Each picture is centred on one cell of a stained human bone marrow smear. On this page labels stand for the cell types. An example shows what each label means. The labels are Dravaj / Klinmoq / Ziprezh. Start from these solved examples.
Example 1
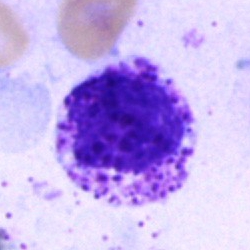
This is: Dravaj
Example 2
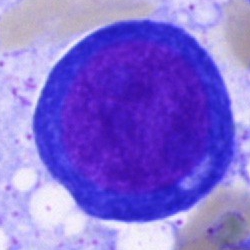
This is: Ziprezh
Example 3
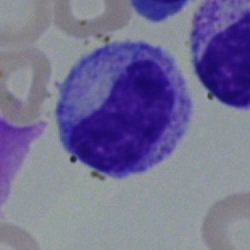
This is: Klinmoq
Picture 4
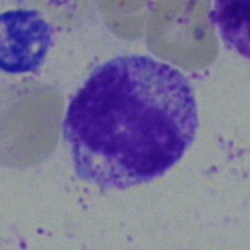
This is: Klinmoq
